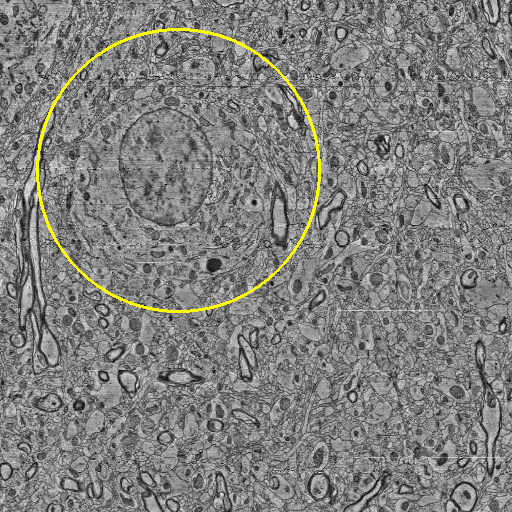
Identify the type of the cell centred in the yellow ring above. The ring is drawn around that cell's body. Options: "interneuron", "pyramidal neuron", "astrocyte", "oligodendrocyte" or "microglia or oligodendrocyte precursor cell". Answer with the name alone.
interneuron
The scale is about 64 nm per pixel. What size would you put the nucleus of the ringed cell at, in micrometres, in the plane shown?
In this plane, the nucleus of the cell at the centre of the ring measures about 8 by 6 micrometres.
